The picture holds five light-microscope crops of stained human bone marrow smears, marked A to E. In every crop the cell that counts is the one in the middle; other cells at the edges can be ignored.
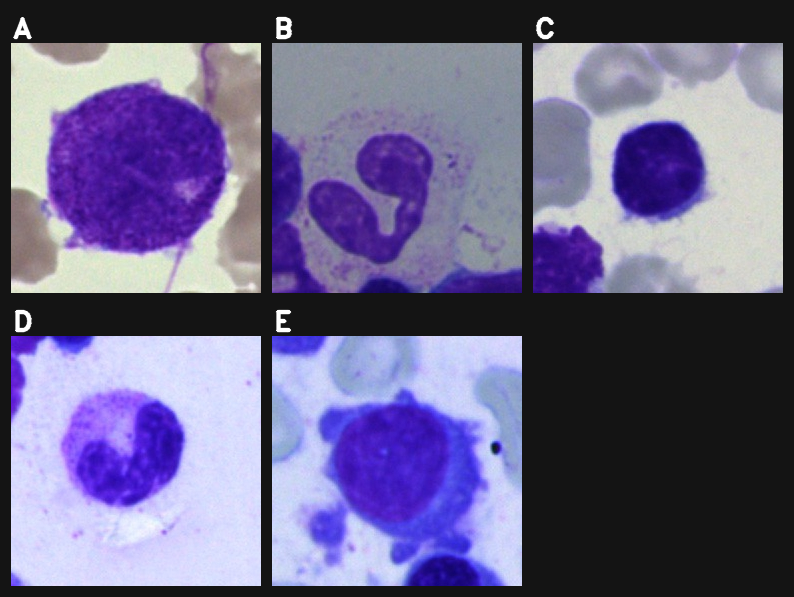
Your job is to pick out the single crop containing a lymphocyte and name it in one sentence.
Among all the crops given here, the one with a lymphocyte is crop C.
